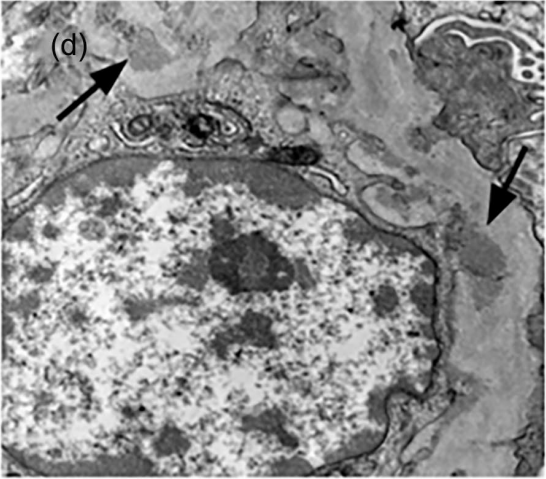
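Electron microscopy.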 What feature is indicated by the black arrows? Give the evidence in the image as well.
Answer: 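Mesangial deposits. The arrows point to darker, finely granular patches within grey matrix material. A large cell nucleus lies next to the marked material.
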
